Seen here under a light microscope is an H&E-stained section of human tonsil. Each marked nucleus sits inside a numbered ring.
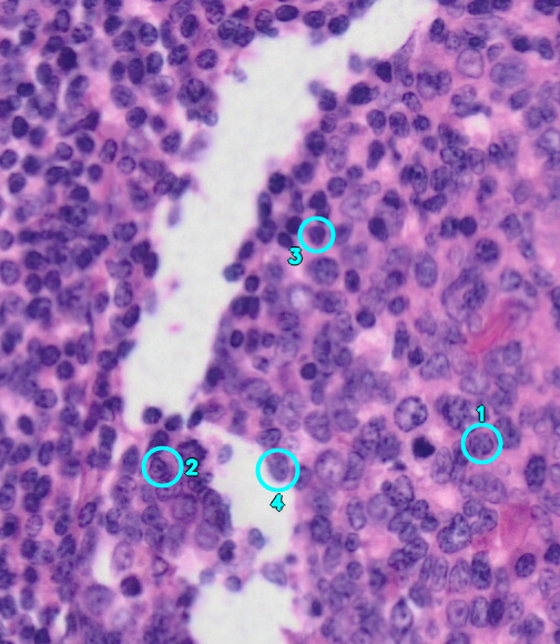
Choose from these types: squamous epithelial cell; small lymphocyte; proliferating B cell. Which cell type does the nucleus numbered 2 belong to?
proliferating B cell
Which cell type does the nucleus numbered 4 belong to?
proliferating B cell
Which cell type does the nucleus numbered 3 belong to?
small lymphocyte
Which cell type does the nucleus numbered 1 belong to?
proliferating B cell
